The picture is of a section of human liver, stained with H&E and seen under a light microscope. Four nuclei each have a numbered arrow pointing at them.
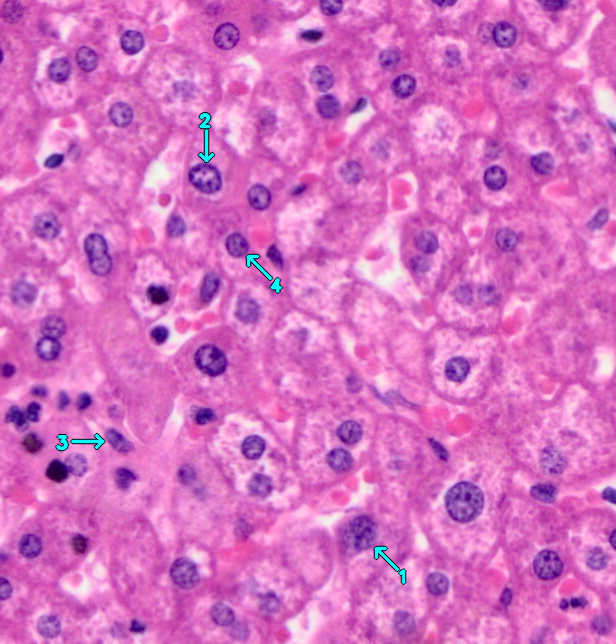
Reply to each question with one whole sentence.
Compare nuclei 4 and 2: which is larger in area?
Nucleus 2 covers more area, about 2 times as much as nucleus 4.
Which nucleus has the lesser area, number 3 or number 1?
With nucleus 1 about 3 times its size, nucleus 3 is the smaller of the two.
